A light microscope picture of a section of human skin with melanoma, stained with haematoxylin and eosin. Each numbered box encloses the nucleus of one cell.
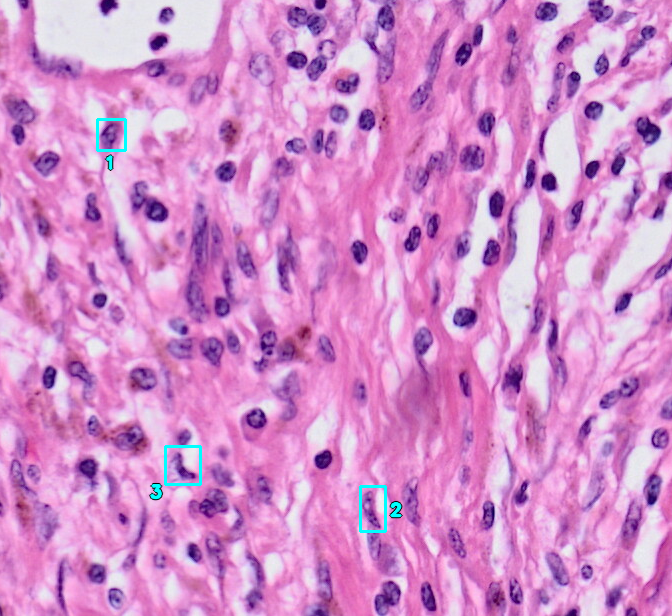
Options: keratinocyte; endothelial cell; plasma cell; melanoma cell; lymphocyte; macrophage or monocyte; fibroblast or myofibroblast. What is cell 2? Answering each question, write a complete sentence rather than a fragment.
Number 2 among the marked cells is a macrophage or monocyte.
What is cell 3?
The cell that bears the number 3 is a fibroblast or myofibroblast.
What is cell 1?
Among the marked nuclei, number 1 belongs to a macrophage or monocyte.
